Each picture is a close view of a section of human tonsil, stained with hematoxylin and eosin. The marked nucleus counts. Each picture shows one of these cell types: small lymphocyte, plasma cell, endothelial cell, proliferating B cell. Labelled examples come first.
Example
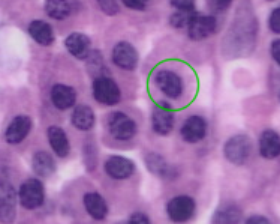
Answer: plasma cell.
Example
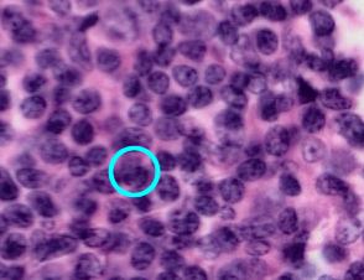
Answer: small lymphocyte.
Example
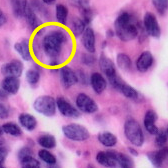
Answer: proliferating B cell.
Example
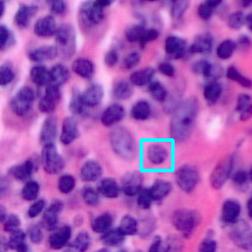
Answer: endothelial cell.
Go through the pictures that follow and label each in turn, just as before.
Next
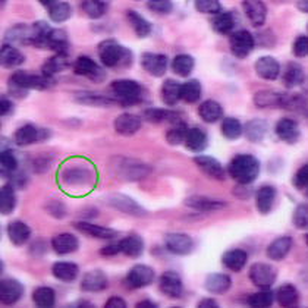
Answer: endothelial cell.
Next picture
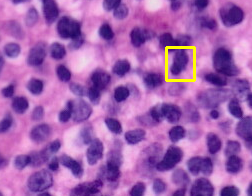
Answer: proliferating B cell.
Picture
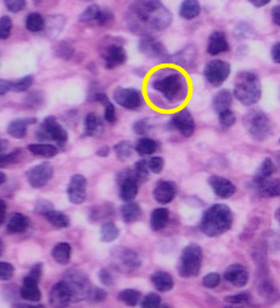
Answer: proliferating B cell.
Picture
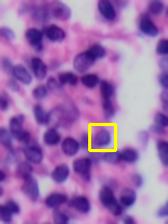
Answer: small lymphocyte.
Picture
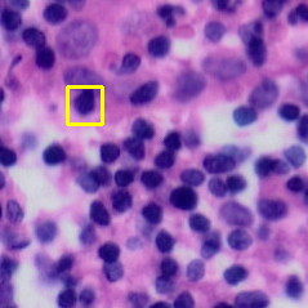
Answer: endothelial cell.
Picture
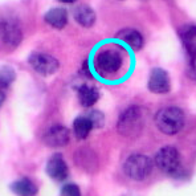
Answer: plasma cell.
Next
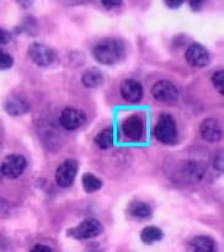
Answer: plasma cell.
